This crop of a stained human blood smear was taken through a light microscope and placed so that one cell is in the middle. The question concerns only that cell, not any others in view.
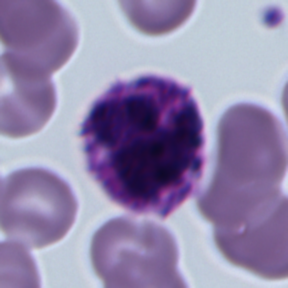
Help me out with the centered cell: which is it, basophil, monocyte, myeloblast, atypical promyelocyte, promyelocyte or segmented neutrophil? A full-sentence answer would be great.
The centrally located cell in the crop is a basophil.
